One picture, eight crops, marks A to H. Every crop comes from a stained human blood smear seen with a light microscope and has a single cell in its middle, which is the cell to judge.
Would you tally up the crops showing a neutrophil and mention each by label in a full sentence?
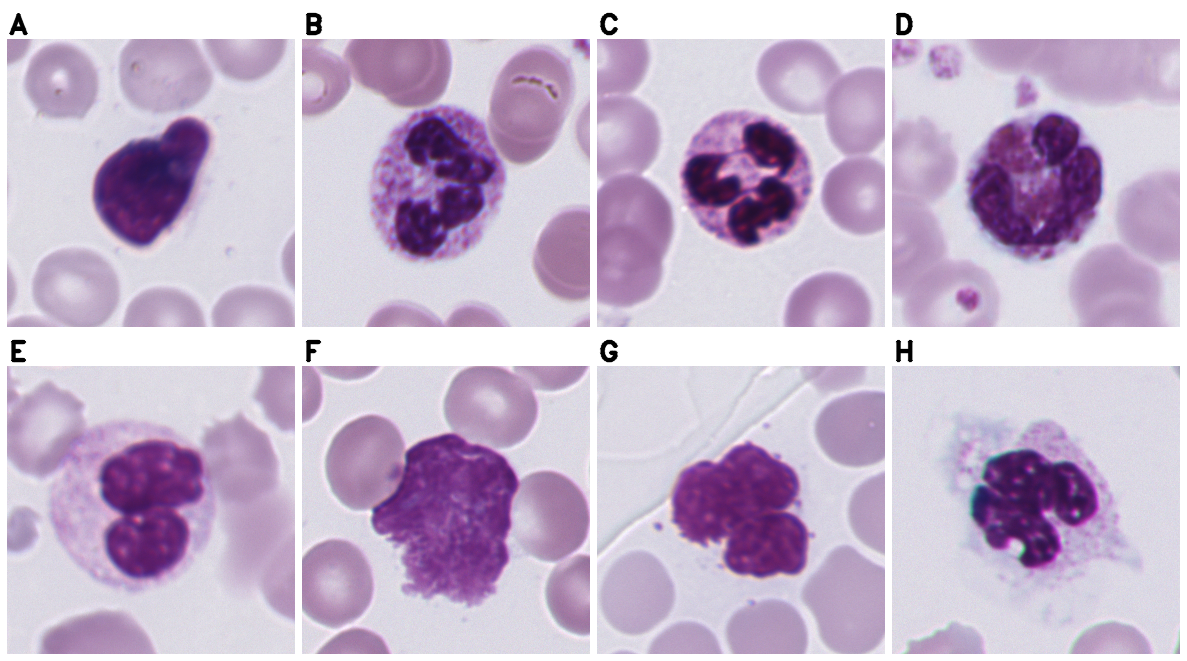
Among the crops, B, C, E and H show neutrophils, making four in total.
